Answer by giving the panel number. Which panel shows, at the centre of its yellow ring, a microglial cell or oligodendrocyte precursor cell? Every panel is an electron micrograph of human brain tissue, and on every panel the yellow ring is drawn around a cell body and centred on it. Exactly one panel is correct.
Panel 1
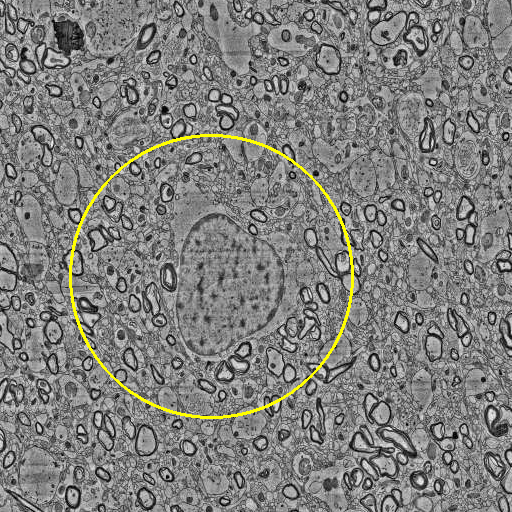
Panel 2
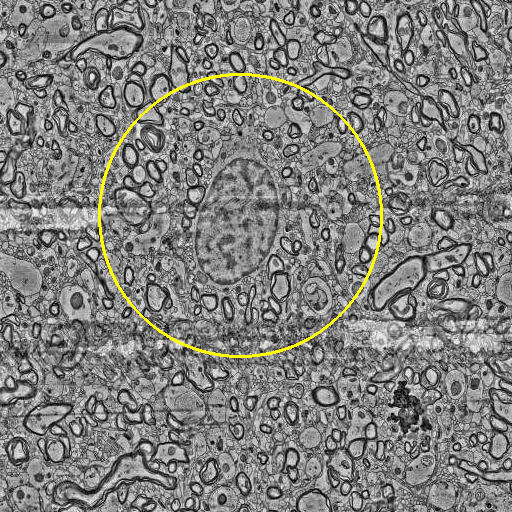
1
